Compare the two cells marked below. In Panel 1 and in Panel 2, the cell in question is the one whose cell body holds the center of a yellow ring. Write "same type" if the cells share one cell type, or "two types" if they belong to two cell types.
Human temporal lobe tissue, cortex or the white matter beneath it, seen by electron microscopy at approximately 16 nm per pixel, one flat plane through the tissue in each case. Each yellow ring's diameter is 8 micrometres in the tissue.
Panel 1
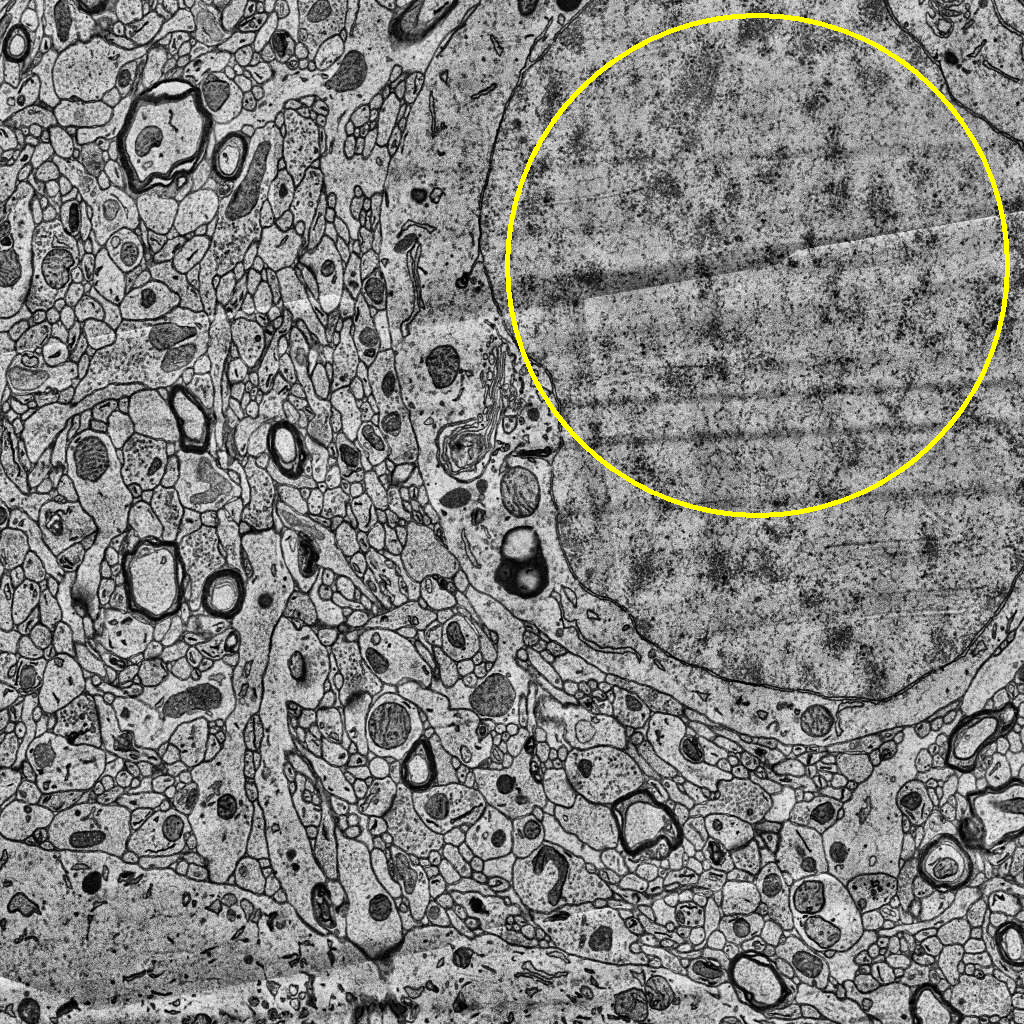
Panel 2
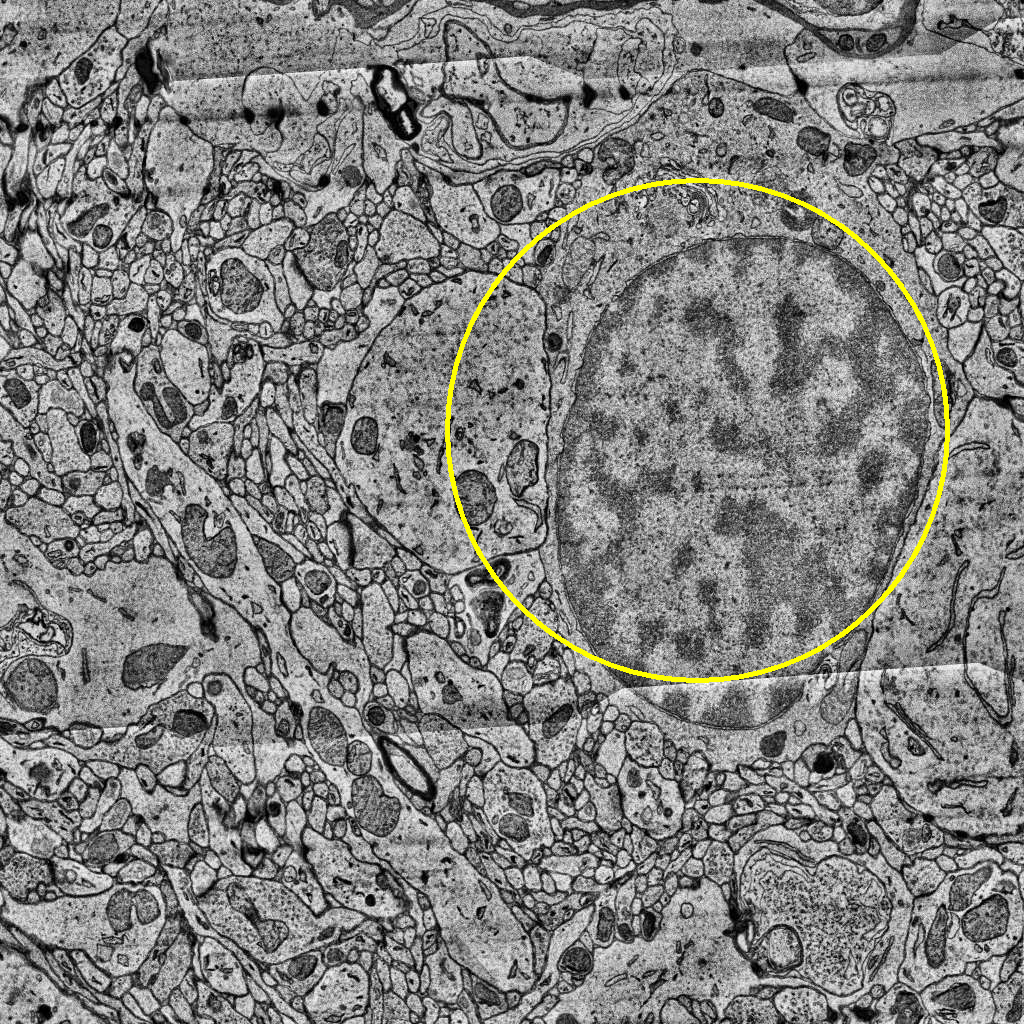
two types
